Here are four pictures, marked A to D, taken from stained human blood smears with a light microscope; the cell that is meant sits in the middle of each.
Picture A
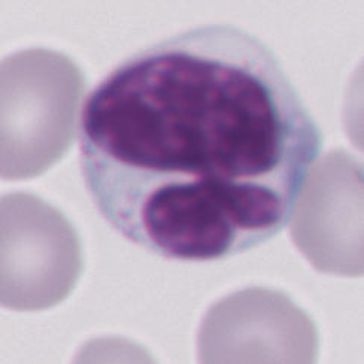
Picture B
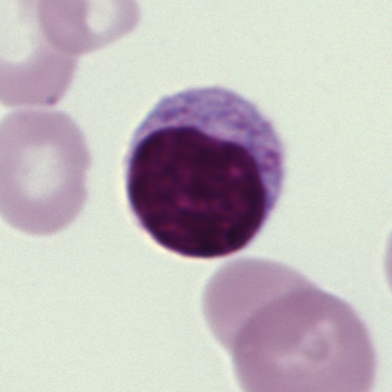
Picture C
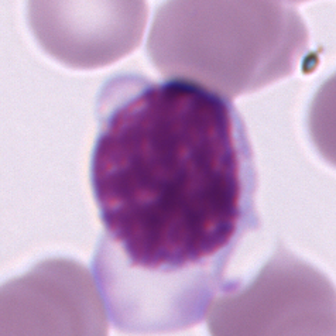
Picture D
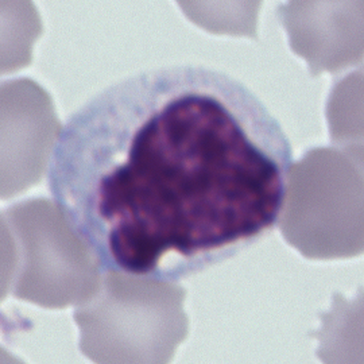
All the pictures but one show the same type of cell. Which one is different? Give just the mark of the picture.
D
